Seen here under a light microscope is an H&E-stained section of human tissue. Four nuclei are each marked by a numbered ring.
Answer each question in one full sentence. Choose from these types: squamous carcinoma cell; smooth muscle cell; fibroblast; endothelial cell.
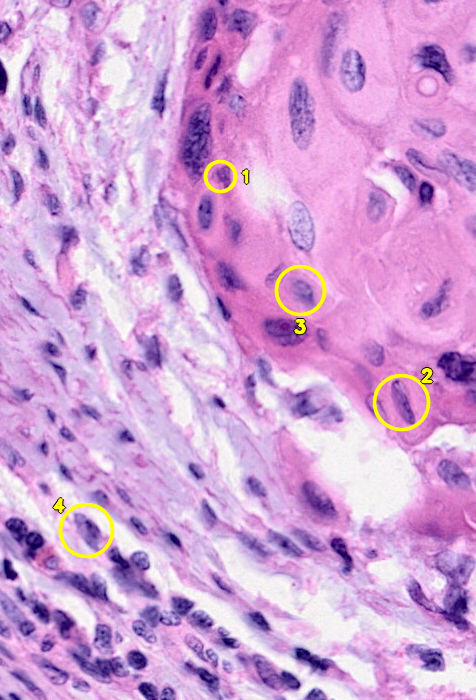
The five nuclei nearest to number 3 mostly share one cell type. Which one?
Around number 3, most of the five nearest nuclei are those of squamous carcinoma cells.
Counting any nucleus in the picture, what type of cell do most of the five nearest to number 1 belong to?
Squamous carcinoma cells account for more than half of the five nuclei nearest to number 1.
